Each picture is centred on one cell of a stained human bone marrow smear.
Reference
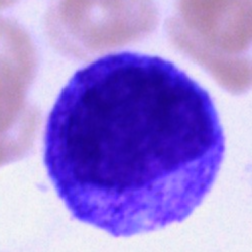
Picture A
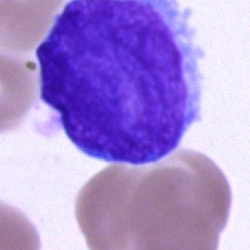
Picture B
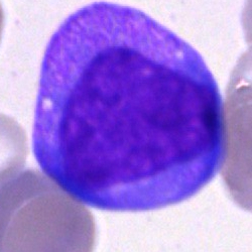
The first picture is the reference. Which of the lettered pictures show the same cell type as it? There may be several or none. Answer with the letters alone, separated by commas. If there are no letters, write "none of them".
B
